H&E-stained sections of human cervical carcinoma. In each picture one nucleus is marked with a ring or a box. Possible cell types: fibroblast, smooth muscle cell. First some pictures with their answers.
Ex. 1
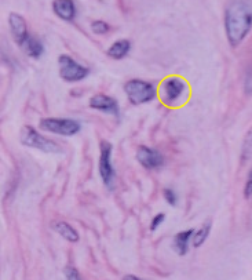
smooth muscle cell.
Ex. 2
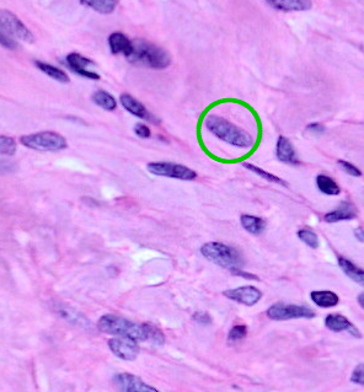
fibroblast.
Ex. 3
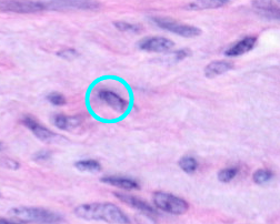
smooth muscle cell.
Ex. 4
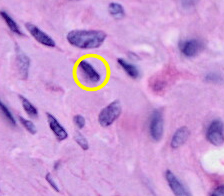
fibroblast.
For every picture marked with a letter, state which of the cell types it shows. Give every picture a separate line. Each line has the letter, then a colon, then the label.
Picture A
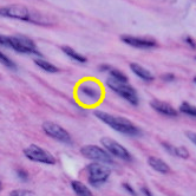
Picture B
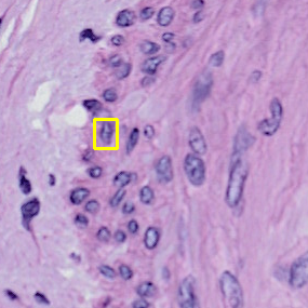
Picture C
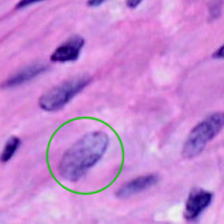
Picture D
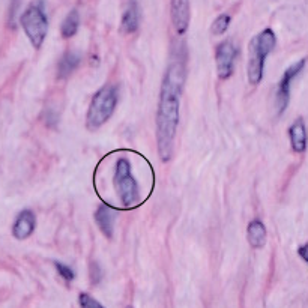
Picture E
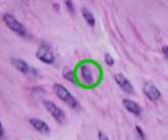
A: smooth muscle cell.
B: smooth muscle cell.
C: fibroblast.
D: smooth muscle cell.
E: smooth muscle cell.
